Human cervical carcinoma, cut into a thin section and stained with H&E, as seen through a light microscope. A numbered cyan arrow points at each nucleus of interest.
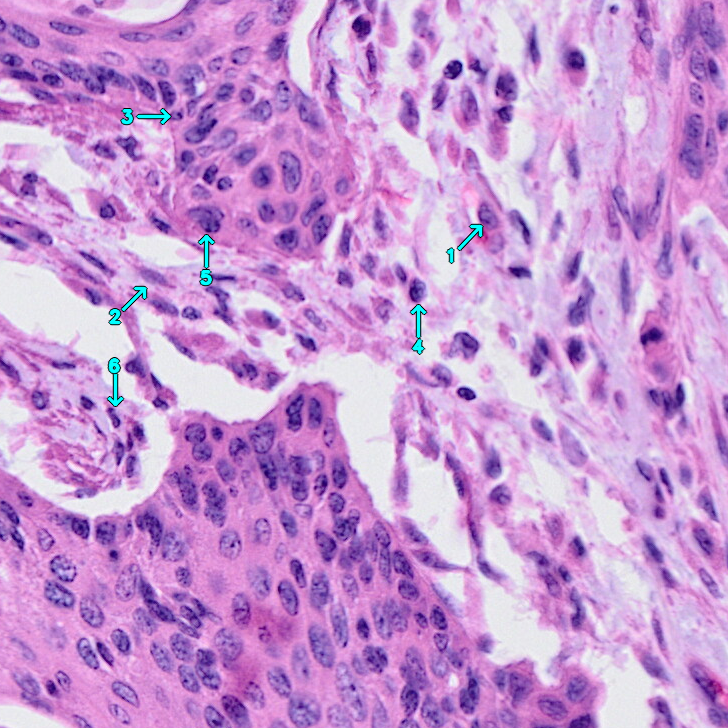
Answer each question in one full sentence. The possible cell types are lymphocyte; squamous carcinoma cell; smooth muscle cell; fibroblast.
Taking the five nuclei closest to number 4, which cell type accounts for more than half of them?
Fibroblasts account for more than half of the five nuclei nearest to number 4.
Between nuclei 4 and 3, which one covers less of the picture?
With nucleus 4 about 3 times its size, nucleus 3 is the smaller of the two.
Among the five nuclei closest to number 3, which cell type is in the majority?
Squamous carcinoma cells account for more than half of the five nuclei nearest to number 3.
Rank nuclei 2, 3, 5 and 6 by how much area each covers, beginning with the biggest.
The nuclei rank 5, 2, 6, 3, from largest to smallest.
